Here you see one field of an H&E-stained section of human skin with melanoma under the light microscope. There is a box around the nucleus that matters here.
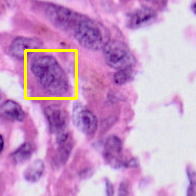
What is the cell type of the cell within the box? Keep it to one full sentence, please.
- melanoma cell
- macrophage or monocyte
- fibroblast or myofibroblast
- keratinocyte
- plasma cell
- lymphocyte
It is as a melanoma cell that the cell within the box is recorded.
